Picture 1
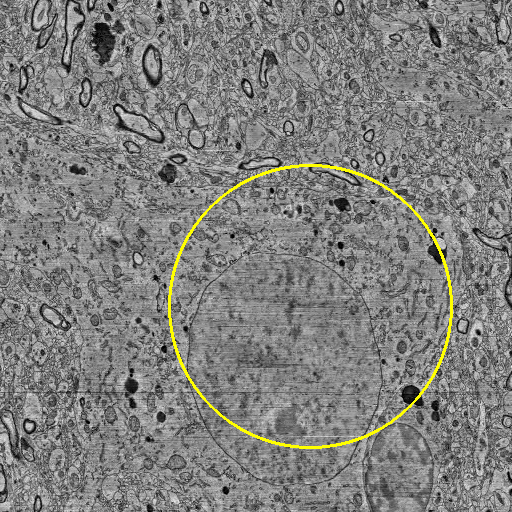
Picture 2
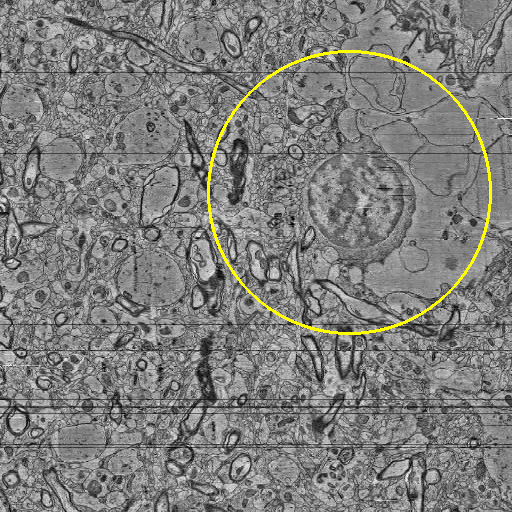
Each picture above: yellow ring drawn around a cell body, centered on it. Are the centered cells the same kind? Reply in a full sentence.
No, the two cells are two kinds of cell.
